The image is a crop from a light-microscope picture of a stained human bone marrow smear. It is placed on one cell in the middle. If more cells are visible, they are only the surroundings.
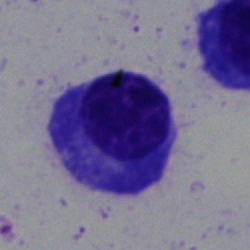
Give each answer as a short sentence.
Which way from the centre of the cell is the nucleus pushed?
The nucleus sits off-centre, toward the upper right.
